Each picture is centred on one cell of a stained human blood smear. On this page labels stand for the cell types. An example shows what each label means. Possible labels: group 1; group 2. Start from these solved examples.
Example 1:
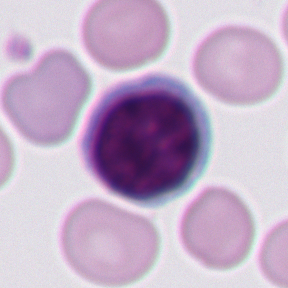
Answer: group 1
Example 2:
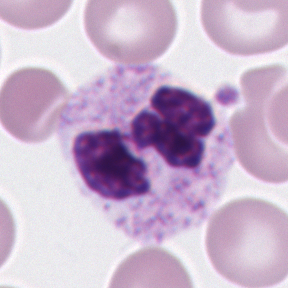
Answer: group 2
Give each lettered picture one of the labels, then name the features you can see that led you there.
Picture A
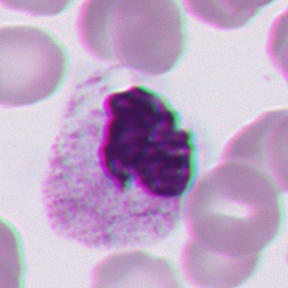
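group 2. The cytoplasm is plentiful and pale pink rather than blue.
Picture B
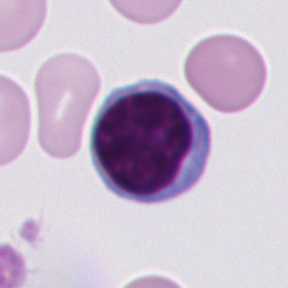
group 1. The nucleus fills most of the cell.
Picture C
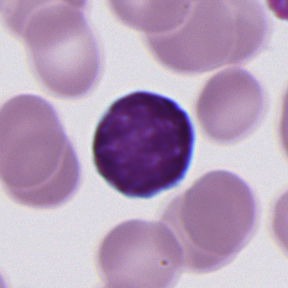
group 1. Cytoplasm is at most a very thin rim around the nucleus.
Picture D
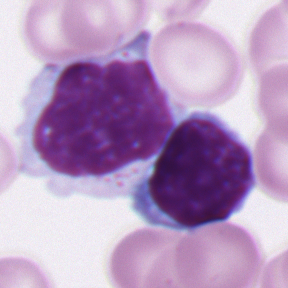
group 1. The nucleus fills most of the cell.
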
